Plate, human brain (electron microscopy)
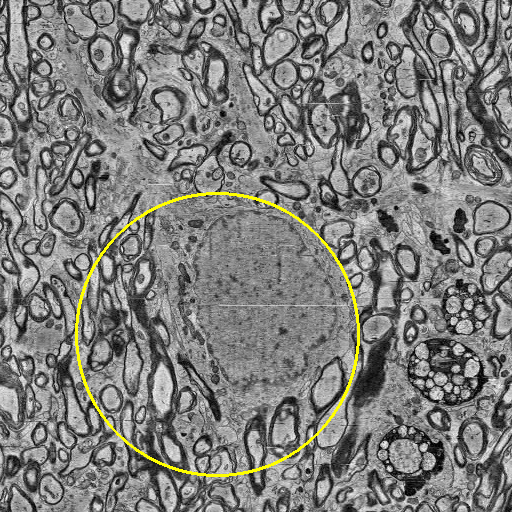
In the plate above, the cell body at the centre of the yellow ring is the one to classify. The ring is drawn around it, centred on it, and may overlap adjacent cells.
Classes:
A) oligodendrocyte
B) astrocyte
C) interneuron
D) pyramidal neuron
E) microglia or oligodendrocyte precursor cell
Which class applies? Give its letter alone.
B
